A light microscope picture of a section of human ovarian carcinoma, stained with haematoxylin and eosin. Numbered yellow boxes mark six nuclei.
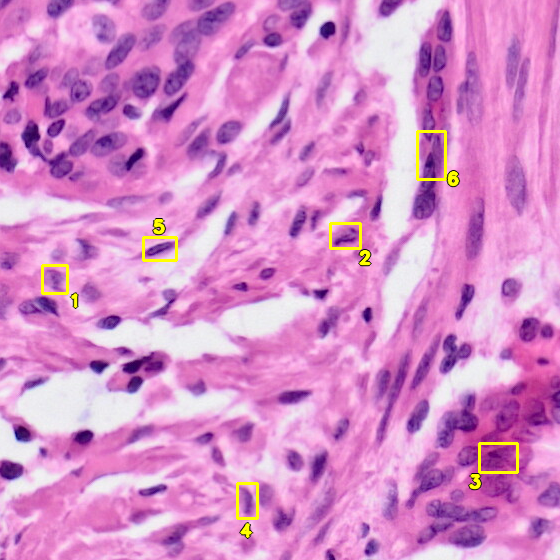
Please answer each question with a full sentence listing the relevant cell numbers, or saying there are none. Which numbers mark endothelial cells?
Cells 3 and 6 are endothelial cells by cell type.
